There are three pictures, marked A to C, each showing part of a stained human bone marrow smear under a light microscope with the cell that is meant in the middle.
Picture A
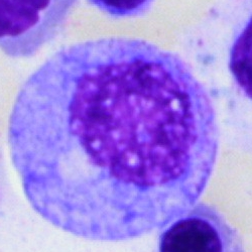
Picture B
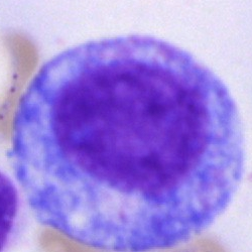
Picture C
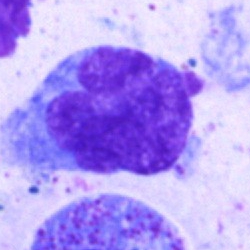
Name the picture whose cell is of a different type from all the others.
C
